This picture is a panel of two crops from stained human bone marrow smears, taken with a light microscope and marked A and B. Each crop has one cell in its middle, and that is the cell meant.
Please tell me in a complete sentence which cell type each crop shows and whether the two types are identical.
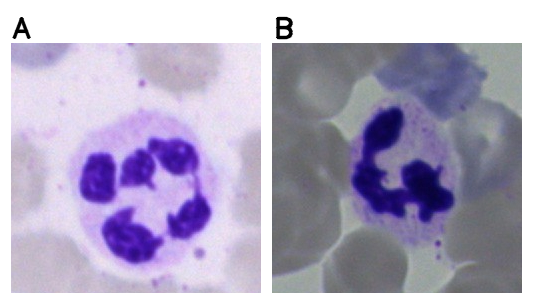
Yes, the two crops share the same answer, segmented neutrophils.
